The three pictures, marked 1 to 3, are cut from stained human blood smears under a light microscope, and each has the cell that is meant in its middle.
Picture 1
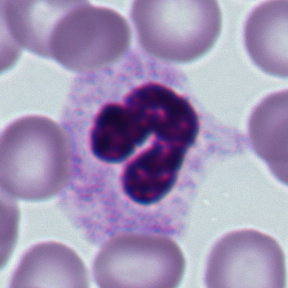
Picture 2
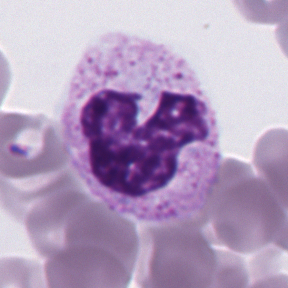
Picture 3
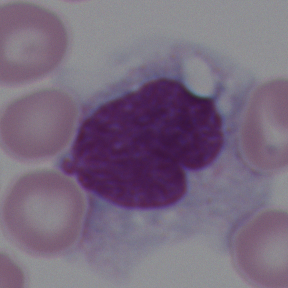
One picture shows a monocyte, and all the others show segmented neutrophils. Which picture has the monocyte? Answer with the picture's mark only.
3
